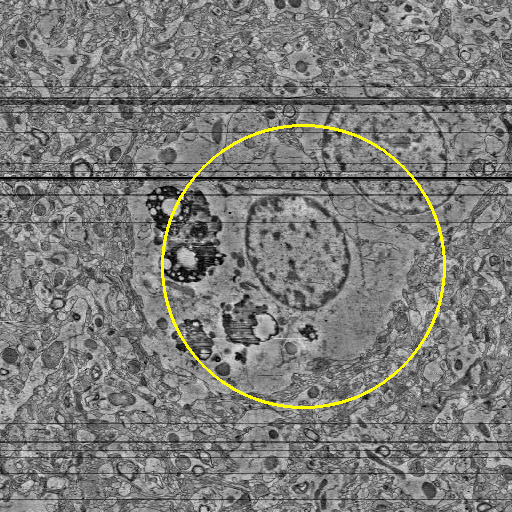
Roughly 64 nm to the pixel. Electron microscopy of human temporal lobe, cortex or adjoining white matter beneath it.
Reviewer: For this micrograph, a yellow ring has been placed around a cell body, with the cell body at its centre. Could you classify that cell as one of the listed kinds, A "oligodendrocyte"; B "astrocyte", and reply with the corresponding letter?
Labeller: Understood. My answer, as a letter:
B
